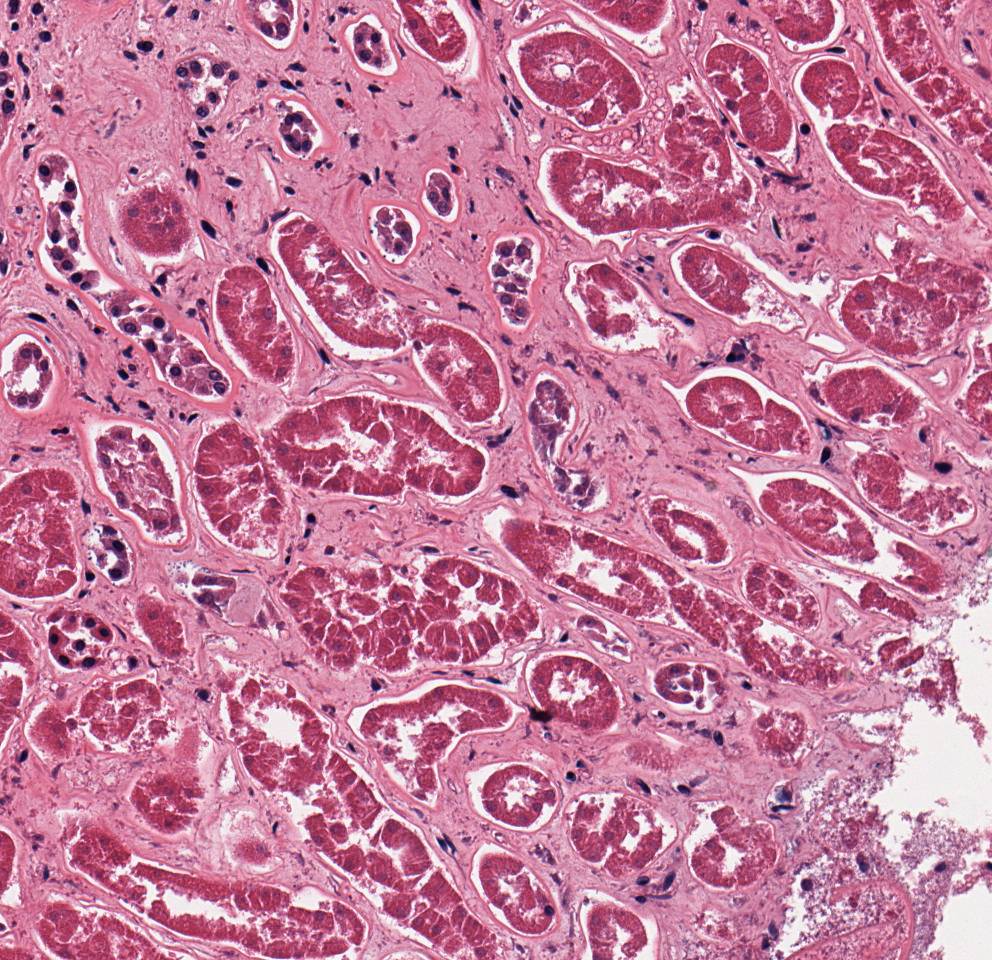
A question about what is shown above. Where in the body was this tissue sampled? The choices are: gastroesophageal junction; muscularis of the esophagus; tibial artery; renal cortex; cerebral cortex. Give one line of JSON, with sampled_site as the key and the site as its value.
{"sampled_site": "renal cortex"}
